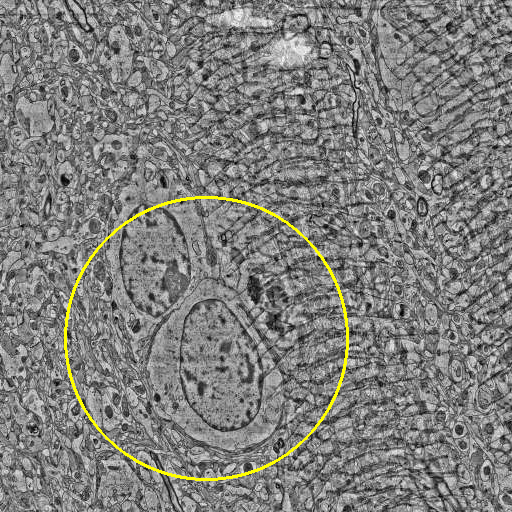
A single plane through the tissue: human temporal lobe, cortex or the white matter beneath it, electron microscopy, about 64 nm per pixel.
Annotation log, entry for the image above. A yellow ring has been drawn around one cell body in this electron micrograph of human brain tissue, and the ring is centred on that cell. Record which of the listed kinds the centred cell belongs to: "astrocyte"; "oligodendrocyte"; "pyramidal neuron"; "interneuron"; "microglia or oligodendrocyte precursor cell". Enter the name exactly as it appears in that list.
astrocyte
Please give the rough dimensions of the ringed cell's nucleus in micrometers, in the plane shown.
Approximately 8 micrometres long and 5 micrometres wide, so clearly longer than it is wide in this plane.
